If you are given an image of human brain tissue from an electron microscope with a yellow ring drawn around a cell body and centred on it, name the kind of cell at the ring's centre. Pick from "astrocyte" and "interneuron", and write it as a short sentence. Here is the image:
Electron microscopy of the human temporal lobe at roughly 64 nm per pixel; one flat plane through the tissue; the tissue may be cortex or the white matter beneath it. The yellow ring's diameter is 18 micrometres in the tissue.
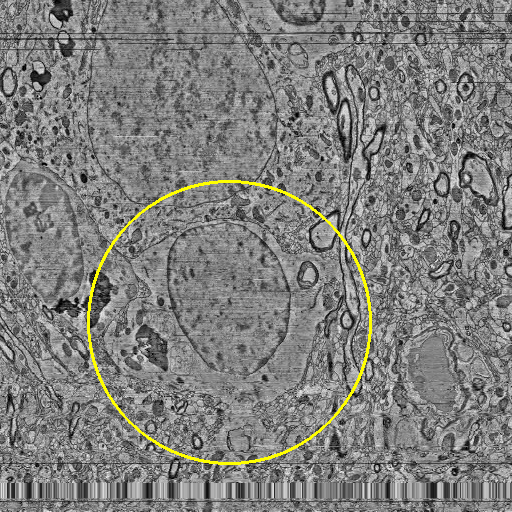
The cell at the ring's centre is an astrocyte.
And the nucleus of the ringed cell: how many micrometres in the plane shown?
About 10 by 7 micrometres in this plane.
